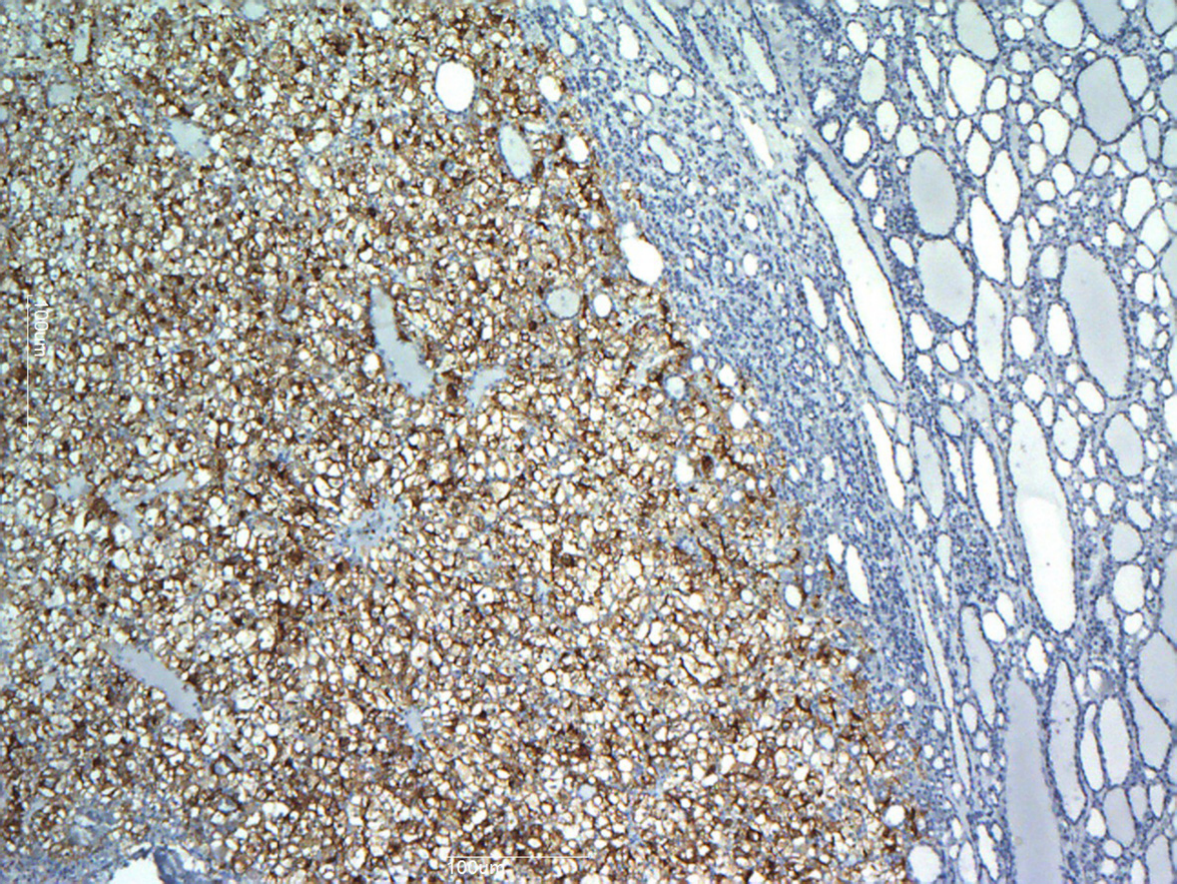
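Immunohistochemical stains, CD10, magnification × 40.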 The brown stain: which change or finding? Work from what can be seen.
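A large solid sheet of cells with clear, vacuolated cytoplasm occupies the left of the panel. These cells carry brown membranous and cytoplasmic stain. Thin-walled vessels run through the sheet. That points to this answer: metastatic renal cell carcinoma.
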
